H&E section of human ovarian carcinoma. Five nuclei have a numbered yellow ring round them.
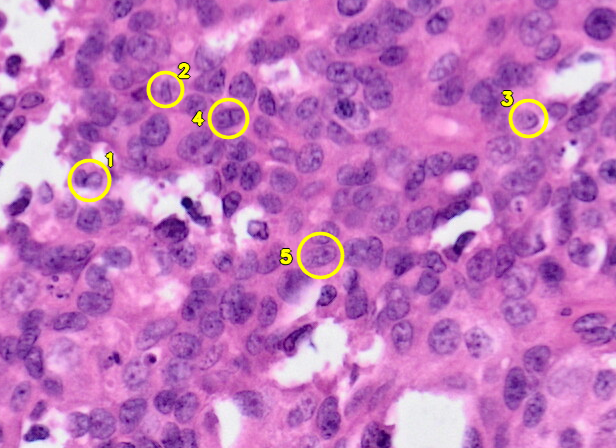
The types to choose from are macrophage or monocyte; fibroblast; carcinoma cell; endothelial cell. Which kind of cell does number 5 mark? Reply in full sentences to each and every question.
Among the marked nuclei, number 5 belongs to a carcinoma cell.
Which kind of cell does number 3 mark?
The expected answer is that cell 3 is a macrophage or monocyte.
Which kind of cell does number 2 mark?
The cell marked with number 2 is a macrophage or monocyte.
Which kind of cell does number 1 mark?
The cell carrying label 1 is identified as a macrophage or monocyte.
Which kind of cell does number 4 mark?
The cell identified by number 4 is a carcinoma cell.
